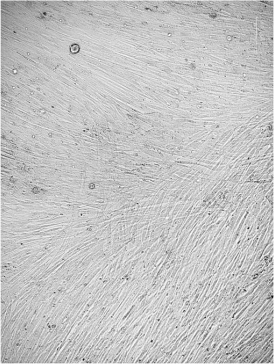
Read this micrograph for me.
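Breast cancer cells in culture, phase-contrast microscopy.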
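Over much of the field the cells run roughly parallel and form streams that sweep in different directions. A few small round bright bodies lie scattered on top of the layer.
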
